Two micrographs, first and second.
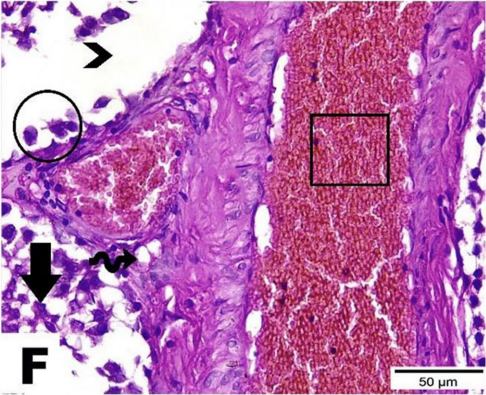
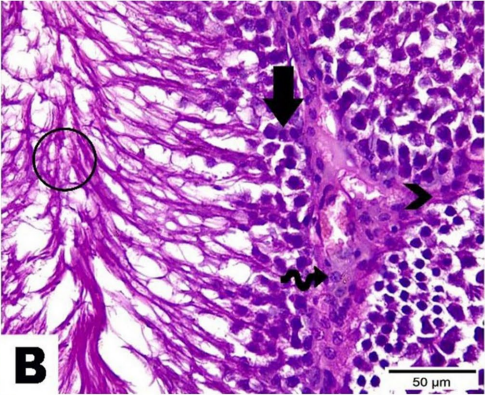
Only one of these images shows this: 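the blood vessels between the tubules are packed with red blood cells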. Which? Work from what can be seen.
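First image: large vessels filled with red-orange red blood cells occupy much of the field. Second image: the narrow space between tubules shows no distended blood-filled vessels. So: the first image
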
